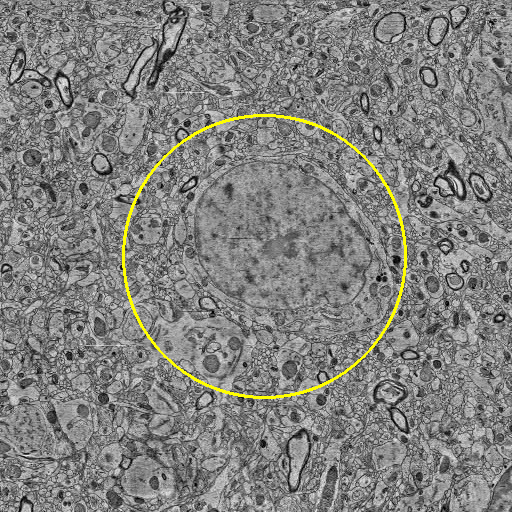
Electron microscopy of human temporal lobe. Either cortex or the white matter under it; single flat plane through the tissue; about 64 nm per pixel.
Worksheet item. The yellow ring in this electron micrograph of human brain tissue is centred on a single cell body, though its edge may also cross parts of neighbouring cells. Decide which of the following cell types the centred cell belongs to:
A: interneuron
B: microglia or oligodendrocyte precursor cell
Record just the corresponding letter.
A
